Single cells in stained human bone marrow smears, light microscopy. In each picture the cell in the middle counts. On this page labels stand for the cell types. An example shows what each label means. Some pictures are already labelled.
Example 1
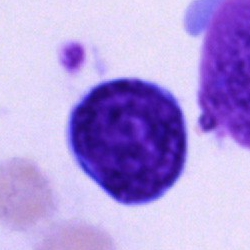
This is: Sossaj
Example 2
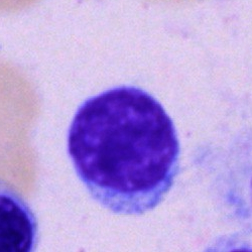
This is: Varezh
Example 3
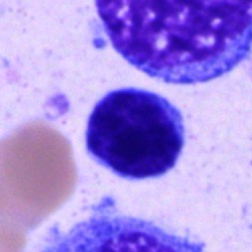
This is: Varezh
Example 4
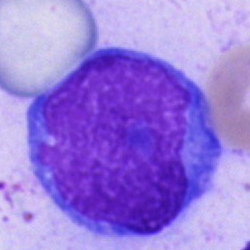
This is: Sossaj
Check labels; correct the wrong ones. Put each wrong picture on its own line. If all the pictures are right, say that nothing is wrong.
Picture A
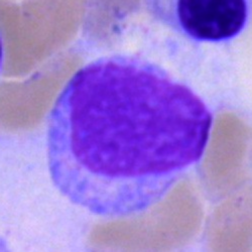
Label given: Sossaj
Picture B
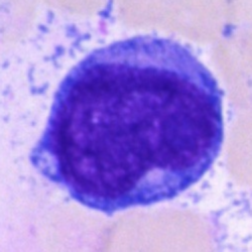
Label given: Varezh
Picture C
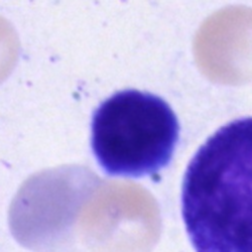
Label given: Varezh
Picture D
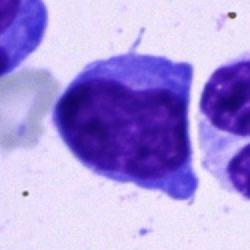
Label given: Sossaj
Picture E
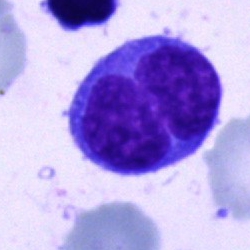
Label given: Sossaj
B: change Varezh to Sossaj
